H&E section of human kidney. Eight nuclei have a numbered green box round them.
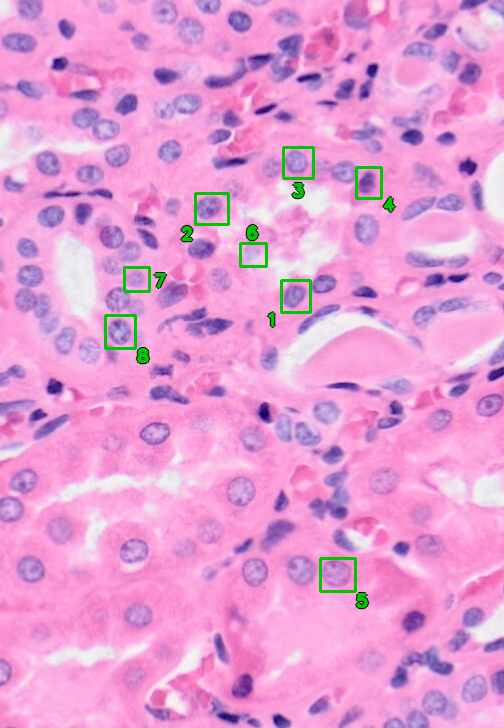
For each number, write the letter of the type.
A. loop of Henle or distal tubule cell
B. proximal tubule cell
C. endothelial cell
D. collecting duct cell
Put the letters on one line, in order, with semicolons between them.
A; A; A; A; B; A; D; D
